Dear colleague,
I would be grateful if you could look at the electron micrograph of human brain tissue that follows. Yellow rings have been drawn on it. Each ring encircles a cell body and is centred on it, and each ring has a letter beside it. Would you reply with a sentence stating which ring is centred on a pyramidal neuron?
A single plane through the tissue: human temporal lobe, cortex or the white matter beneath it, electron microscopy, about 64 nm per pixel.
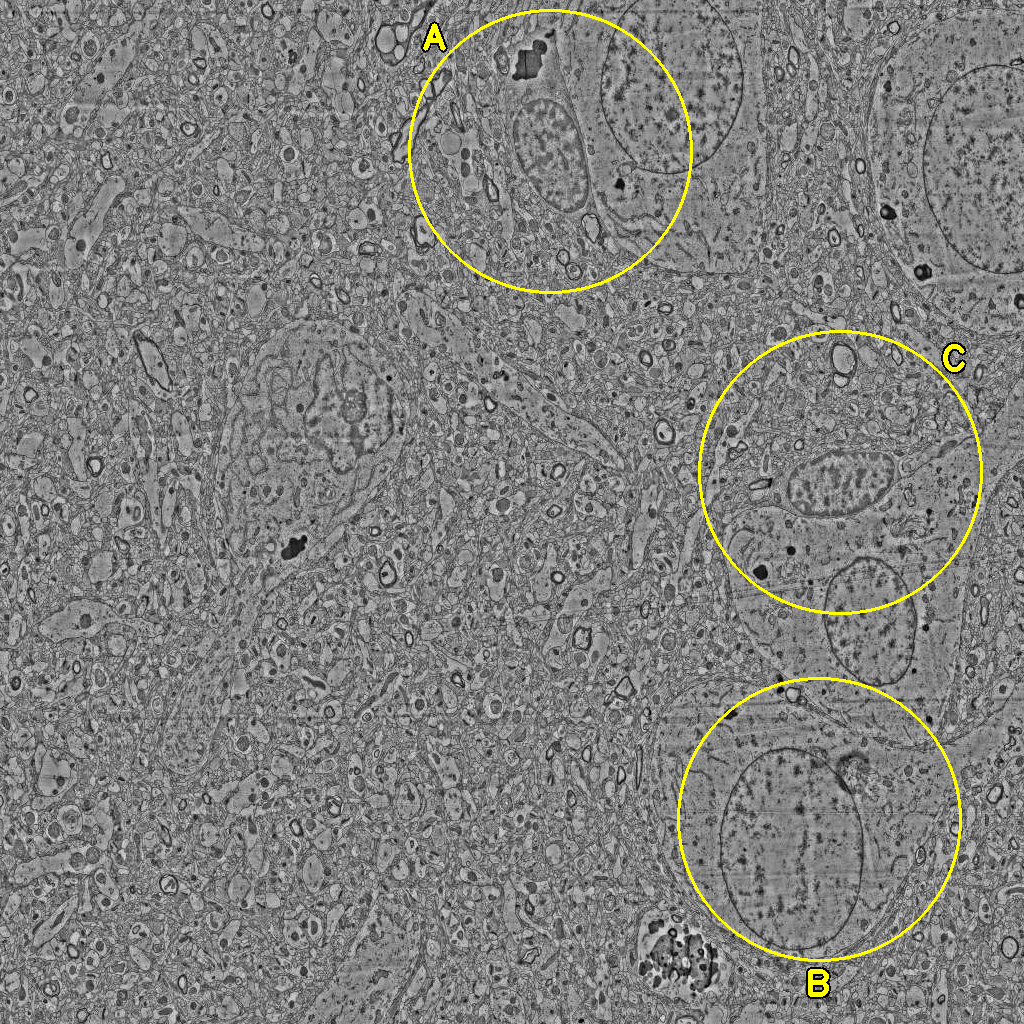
The ring centred on it is ring B.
